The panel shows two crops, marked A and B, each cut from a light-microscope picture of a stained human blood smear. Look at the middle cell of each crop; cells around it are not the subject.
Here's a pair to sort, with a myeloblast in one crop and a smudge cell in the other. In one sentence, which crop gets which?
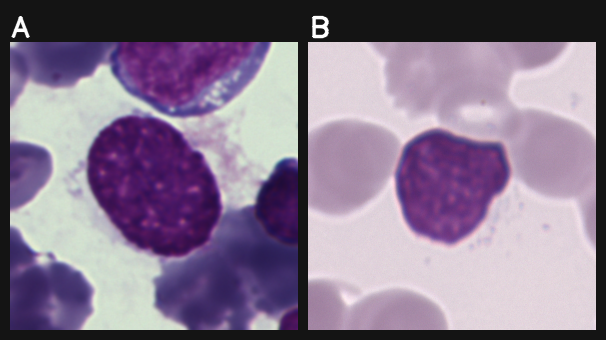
Crop A is a myeloblast, and crop B is a smudge cell.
